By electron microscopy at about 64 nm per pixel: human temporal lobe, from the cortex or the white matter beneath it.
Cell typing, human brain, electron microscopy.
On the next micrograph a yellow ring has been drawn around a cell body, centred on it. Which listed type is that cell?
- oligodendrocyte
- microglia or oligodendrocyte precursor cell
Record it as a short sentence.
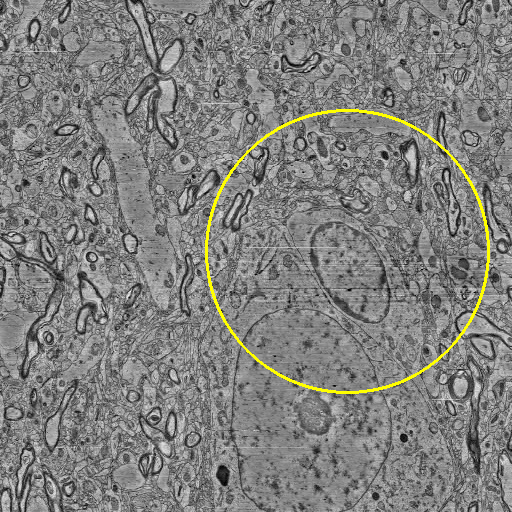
The cell body in the ring's centre belongs to a microglial cell or oligodendrocyte precursor cell.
